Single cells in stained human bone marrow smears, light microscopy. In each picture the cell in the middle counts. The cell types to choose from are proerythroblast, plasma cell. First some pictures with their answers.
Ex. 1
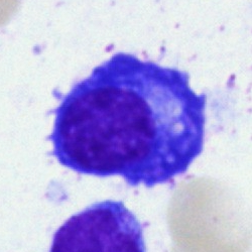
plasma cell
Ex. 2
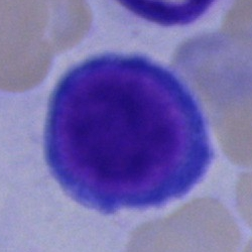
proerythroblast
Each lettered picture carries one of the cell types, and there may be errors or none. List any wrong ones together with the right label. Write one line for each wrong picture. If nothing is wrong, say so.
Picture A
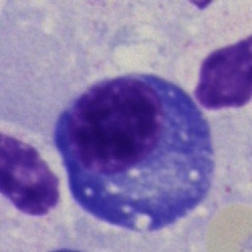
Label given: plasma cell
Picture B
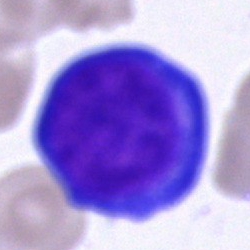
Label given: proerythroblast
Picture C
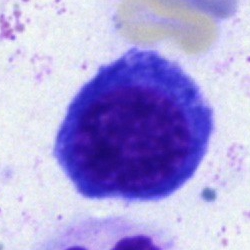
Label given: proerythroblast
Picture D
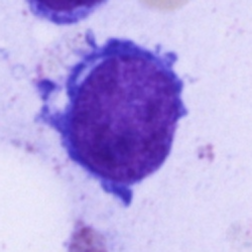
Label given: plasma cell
D: not plasma cell but proerythroblast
